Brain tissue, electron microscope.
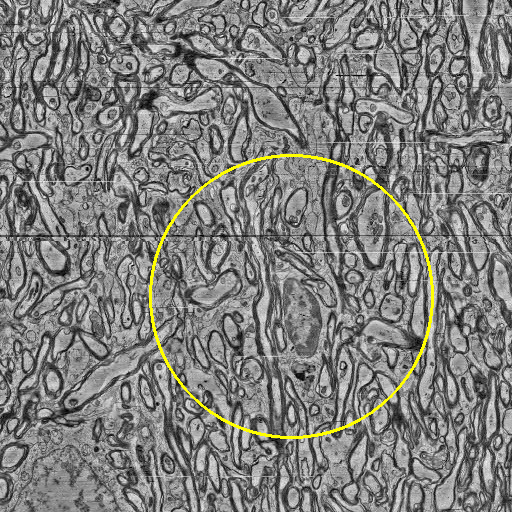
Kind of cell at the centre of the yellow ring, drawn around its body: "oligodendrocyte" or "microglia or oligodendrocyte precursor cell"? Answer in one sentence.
The ring's centre falls on a microglial cell or oligodendrocyte precursor cell.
